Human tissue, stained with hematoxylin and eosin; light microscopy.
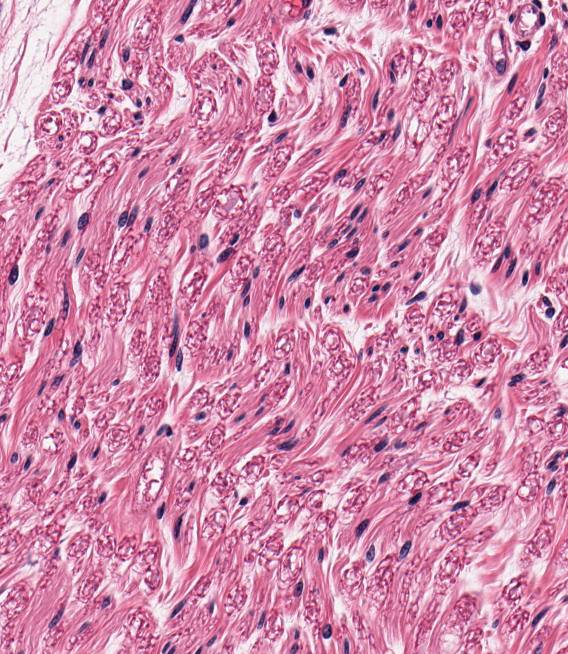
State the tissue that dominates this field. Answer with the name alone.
nerve fascicle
